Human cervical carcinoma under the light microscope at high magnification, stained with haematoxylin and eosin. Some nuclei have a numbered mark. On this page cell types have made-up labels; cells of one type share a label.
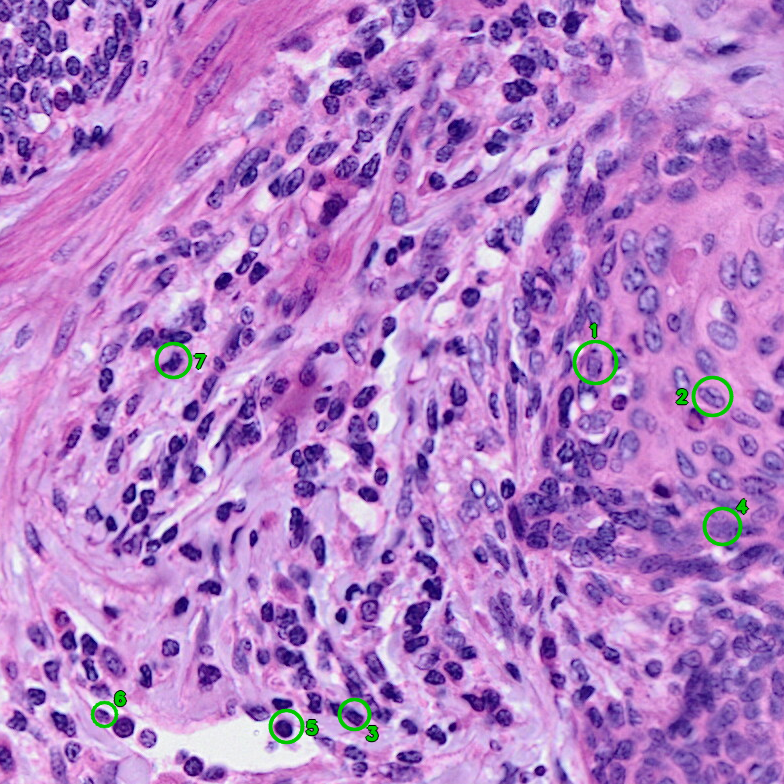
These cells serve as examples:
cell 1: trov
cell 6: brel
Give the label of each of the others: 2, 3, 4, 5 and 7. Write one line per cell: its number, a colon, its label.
2: trov
3: brel
4: trov
5: brel
7: brel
